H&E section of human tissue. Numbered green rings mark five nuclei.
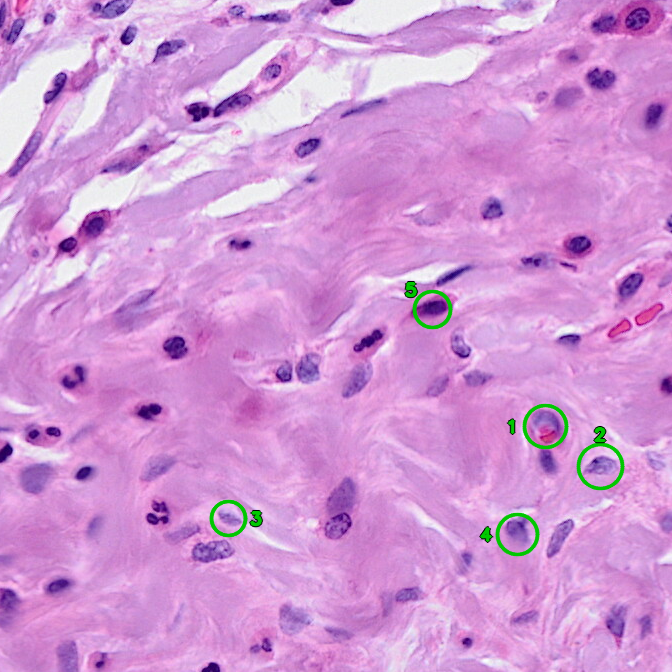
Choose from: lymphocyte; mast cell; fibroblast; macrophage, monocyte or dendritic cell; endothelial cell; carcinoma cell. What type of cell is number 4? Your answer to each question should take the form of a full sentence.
The one numbered 4 among the marked cells is a fibroblast.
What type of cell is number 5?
The cell given label 5 is a mast cell.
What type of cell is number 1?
Here the cell numbered 1 is an endothelial cell.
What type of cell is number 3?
Within this field of view, the cell labelled 3 is a fibroblast.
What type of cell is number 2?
Cell 2, among those numbered, is a fibroblast.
